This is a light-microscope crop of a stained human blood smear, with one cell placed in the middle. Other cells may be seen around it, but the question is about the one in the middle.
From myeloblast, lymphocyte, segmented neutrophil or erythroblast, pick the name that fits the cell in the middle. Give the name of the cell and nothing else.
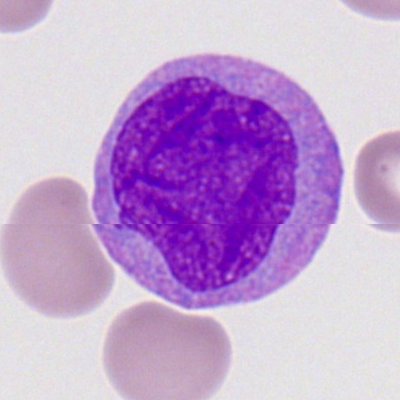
myeloblast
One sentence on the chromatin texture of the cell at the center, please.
The chromatin shows a fine pattern without coarse clumps.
